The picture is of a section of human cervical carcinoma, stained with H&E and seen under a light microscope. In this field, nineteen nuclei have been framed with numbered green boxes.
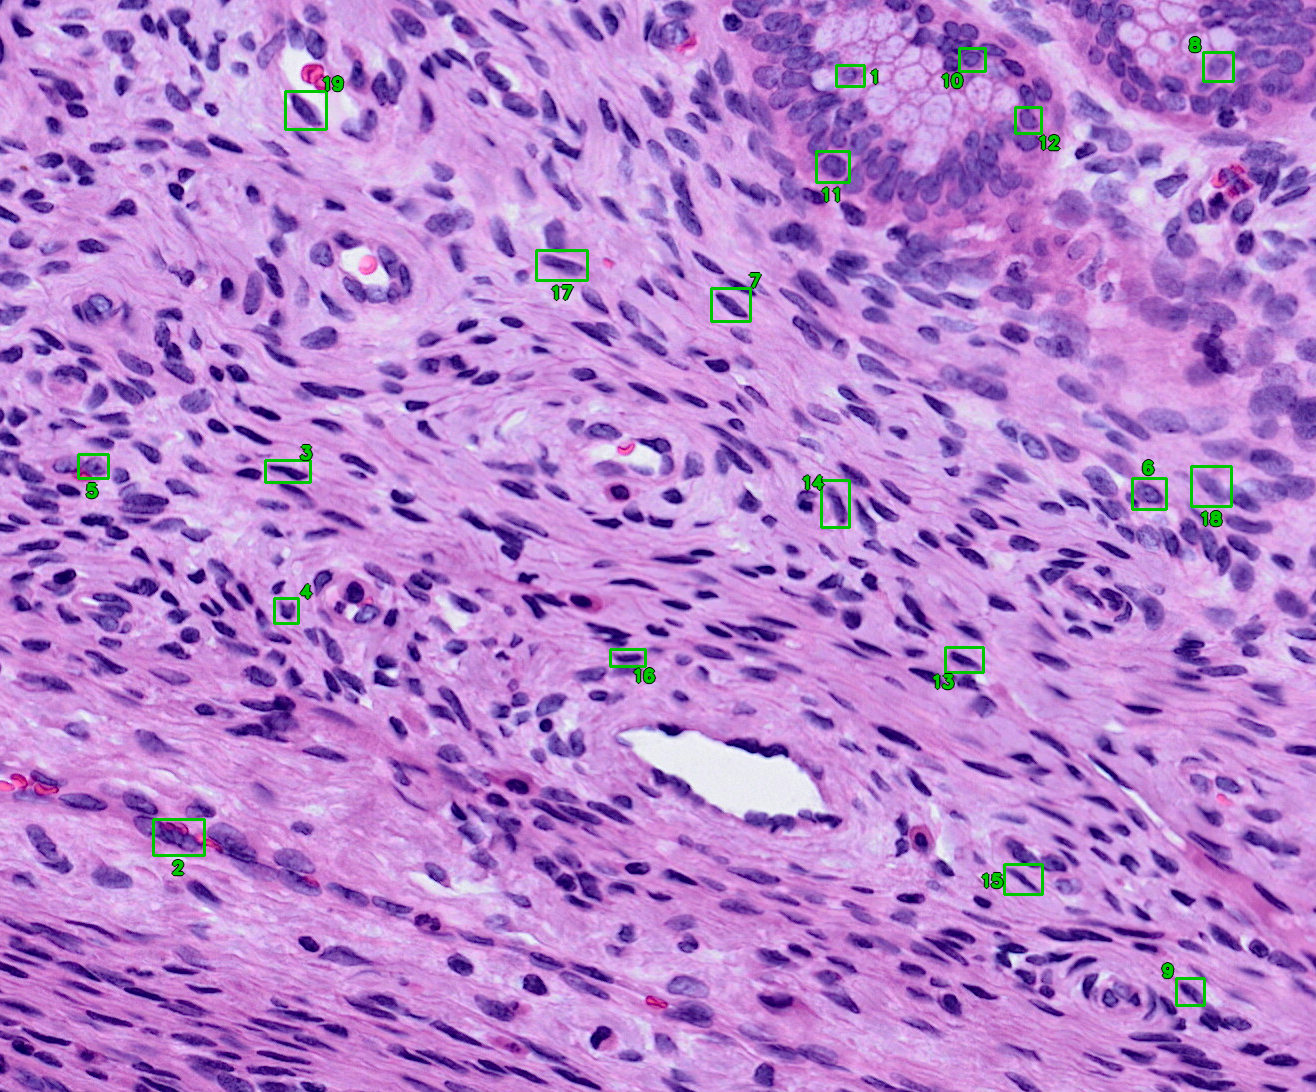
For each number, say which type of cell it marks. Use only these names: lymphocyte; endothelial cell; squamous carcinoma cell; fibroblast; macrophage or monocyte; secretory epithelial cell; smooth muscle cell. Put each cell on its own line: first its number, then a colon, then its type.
1: secretory epithelial cell
2: endothelial cell
3: fibroblast
4: fibroblast
5: endothelial cell
6: endothelial cell
7: fibroblast
8: secretory epithelial cell
9: fibroblast
10: secretory epithelial cell
11: secretory epithelial cell
12: secretory epithelial cell
13: fibroblast
14: fibroblast
15: fibroblast
16: fibroblast
17: fibroblast
18: fibroblast
19: endothelial cell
